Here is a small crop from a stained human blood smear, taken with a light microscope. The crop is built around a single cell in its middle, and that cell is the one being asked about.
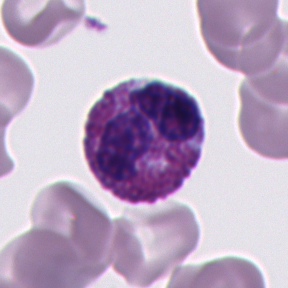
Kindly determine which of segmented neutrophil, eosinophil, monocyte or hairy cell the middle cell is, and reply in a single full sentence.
Standing at the centre of this crop is an eosinophil.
